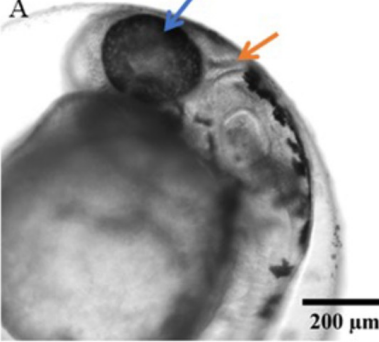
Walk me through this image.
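Head and anterior trunk of a zebrafish embryo seen from the side, curled over a large rounded yolk sac. The eye is a dark, heavily pigmented disc, and behind it a fold in the dorsal brain marks the junction at the start of the hindbrain. Scattered dark, irregular pigment cells line the dorsal head and trunk.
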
